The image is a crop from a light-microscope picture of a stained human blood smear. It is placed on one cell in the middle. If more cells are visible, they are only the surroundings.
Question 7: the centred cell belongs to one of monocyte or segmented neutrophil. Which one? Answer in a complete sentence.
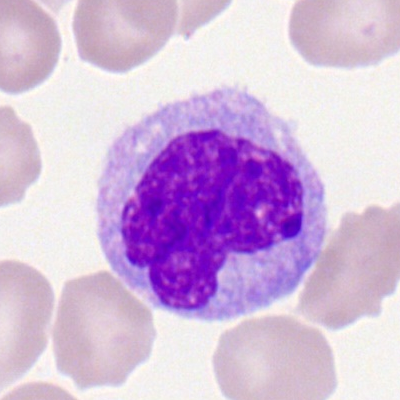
Centrally within this crop lies a monocyte.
